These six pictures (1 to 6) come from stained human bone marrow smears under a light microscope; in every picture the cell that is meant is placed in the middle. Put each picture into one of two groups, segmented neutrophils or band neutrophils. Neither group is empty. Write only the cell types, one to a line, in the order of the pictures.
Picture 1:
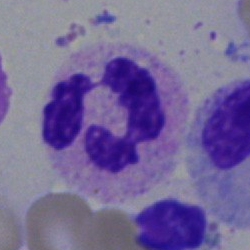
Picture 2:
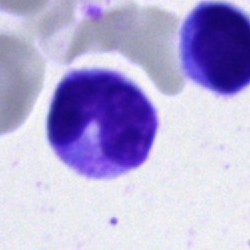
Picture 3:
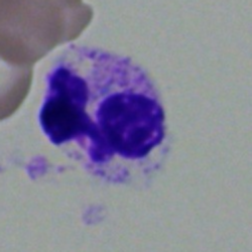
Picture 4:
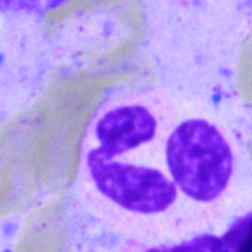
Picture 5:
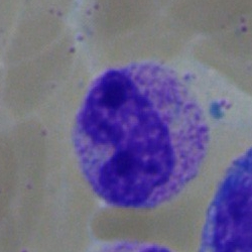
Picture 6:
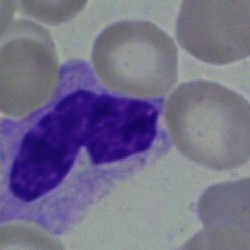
segmented neutrophil
band neutrophil
segmented neutrophil
segmented neutrophil
band neutrophil
band neutrophil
